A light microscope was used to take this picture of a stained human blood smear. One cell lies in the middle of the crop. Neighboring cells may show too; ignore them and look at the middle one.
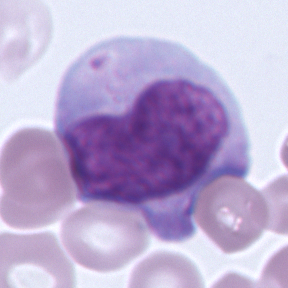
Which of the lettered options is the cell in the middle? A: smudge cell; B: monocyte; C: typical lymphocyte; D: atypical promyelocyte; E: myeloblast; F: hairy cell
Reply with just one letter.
D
